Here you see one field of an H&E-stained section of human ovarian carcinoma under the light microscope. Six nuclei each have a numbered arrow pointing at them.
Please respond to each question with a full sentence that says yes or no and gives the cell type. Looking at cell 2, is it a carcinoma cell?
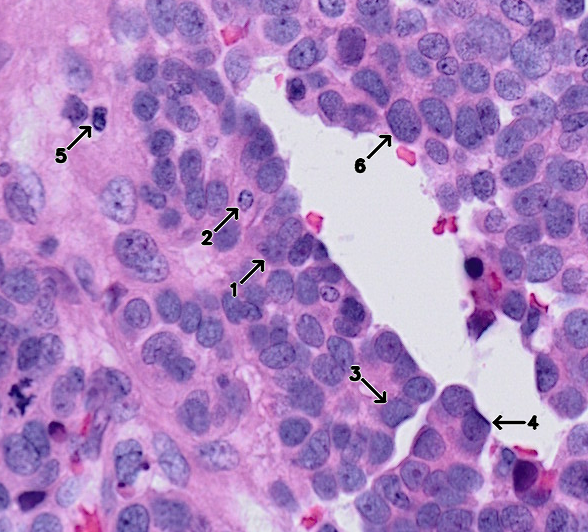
No, rather than a carcinoma cell, cell number 2 is a macrophage or monocyte.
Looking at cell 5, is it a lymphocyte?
Yes, number 5 is assigned to a cell that is a lymphocyte.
